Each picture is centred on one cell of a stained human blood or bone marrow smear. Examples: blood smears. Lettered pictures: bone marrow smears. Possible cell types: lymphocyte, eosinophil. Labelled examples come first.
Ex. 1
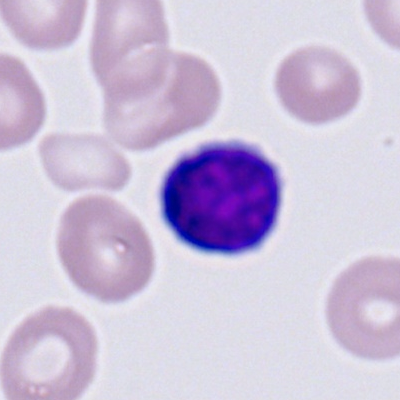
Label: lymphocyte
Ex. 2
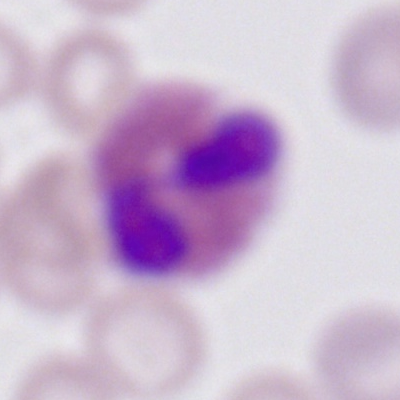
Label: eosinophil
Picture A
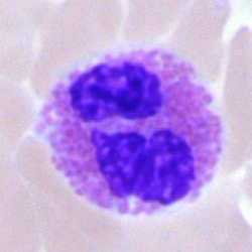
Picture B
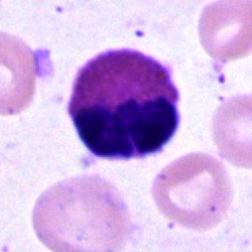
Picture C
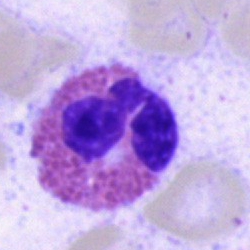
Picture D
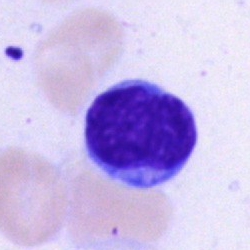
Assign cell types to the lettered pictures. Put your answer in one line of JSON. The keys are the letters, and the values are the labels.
{"A": "eosinophil", "B": "eosinophil", "C": "eosinophil", "D": "lymphocyte"}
